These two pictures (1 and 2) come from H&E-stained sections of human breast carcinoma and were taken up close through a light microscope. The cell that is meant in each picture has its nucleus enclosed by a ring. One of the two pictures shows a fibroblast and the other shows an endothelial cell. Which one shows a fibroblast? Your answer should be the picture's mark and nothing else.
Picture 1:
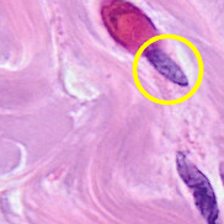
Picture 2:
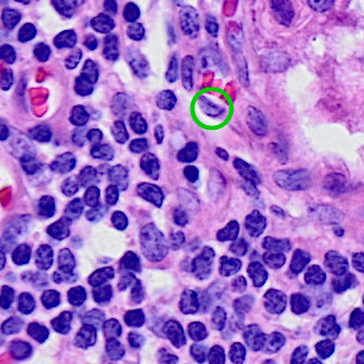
1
